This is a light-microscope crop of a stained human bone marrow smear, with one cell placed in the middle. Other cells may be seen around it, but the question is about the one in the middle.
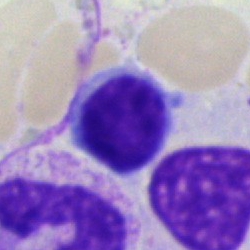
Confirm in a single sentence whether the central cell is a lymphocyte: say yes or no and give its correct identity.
Yes, the identification of the central cell as a lymphocyte is correct.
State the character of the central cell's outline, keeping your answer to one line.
The boundary of the cell runs irregularly, ragged in parts or drawn into projections.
